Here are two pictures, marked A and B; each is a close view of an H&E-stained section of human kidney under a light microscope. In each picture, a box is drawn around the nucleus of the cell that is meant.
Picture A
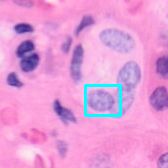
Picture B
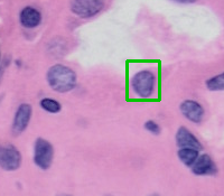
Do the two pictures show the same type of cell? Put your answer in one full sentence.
No. Picture A shows a collecting duct cell, but picture B shows a “loop of Henle or distal tubule cell”.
